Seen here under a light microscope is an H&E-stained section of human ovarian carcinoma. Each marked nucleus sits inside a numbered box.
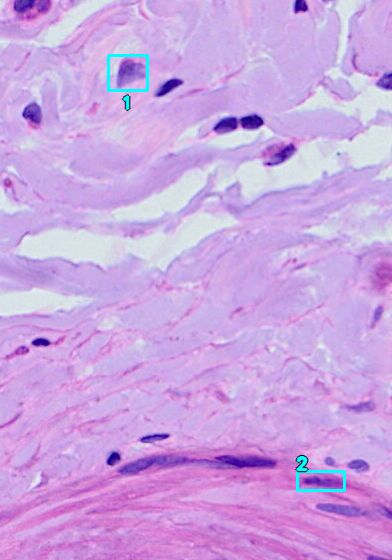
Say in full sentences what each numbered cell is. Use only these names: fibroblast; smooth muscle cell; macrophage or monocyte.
Cell 1 is a fibroblast and cell 2 is a smooth muscle cell.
